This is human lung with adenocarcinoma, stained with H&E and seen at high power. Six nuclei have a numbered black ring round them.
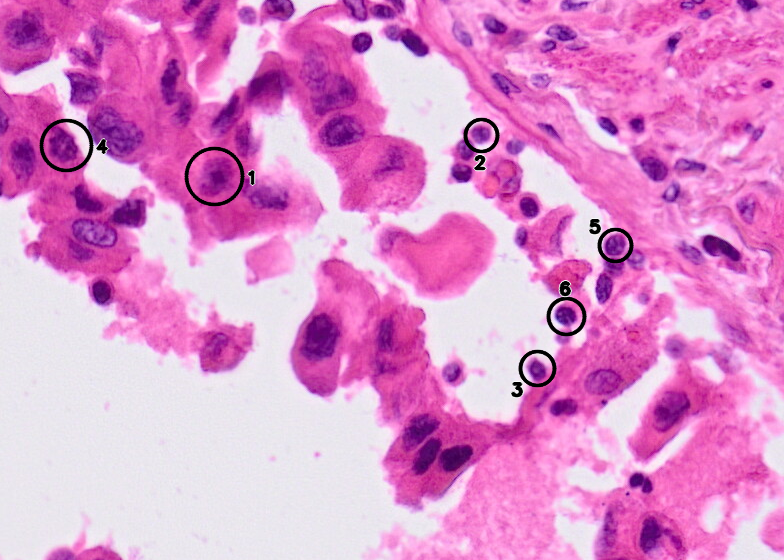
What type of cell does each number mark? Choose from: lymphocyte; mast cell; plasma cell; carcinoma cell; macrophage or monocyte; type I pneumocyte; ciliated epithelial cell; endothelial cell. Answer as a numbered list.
1. carcinoma cell
2. lymphocyte
3. lymphocyte
4. carcinoma cell
5. lymphocyte
6. lymphocyte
